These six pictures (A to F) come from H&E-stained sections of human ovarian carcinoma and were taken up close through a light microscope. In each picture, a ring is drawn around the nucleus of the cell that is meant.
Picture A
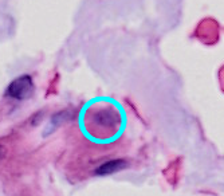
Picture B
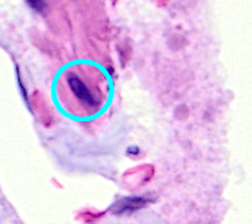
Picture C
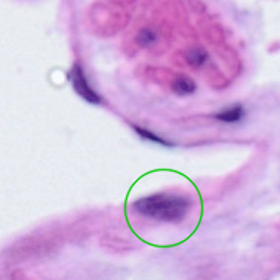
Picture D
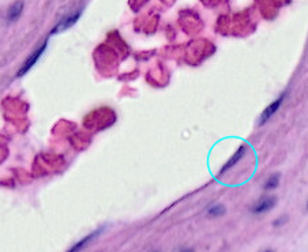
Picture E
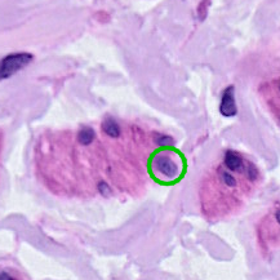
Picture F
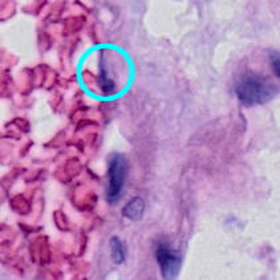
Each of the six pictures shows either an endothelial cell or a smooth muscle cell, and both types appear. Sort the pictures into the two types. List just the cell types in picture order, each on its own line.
smooth muscle cell
smooth muscle cell
endothelial cell
endothelial cell
smooth muscle cell
endothelial cell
